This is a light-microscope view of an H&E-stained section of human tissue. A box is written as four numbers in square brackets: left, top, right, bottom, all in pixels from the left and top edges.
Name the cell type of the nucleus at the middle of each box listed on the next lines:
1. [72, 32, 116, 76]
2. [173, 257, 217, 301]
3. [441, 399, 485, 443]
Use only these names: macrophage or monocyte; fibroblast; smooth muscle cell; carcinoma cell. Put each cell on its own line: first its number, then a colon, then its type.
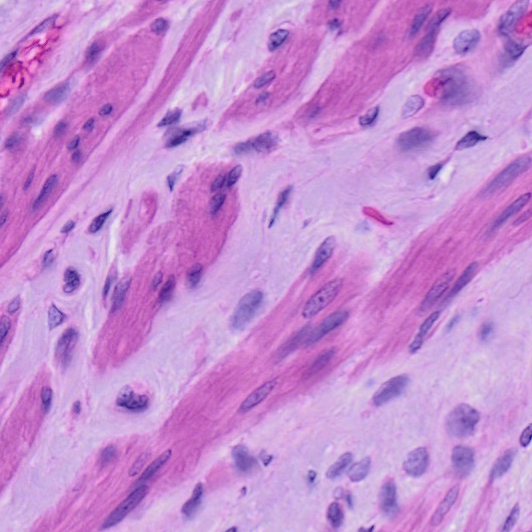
1: smooth muscle cell
2: smooth muscle cell
3: fibroblast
